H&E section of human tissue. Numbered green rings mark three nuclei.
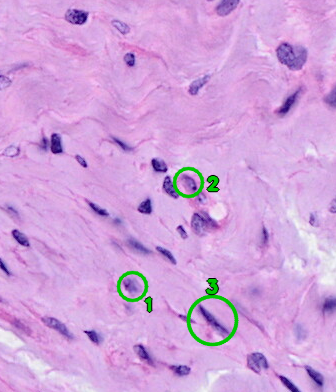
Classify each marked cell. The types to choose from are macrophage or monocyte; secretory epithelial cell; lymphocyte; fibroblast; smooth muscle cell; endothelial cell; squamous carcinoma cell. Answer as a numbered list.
1. fibroblast
2. endothelial cell
3. fibroblast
